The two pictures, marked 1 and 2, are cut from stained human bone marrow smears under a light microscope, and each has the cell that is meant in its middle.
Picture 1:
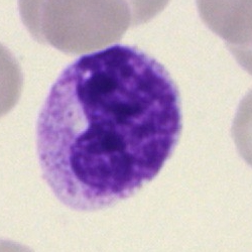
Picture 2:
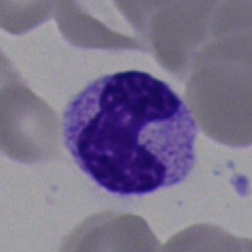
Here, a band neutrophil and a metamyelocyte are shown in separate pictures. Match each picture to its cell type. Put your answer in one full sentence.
The cell in picture 1 is a metamyelocyte, and the one in picture 2 is a band neutrophil.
